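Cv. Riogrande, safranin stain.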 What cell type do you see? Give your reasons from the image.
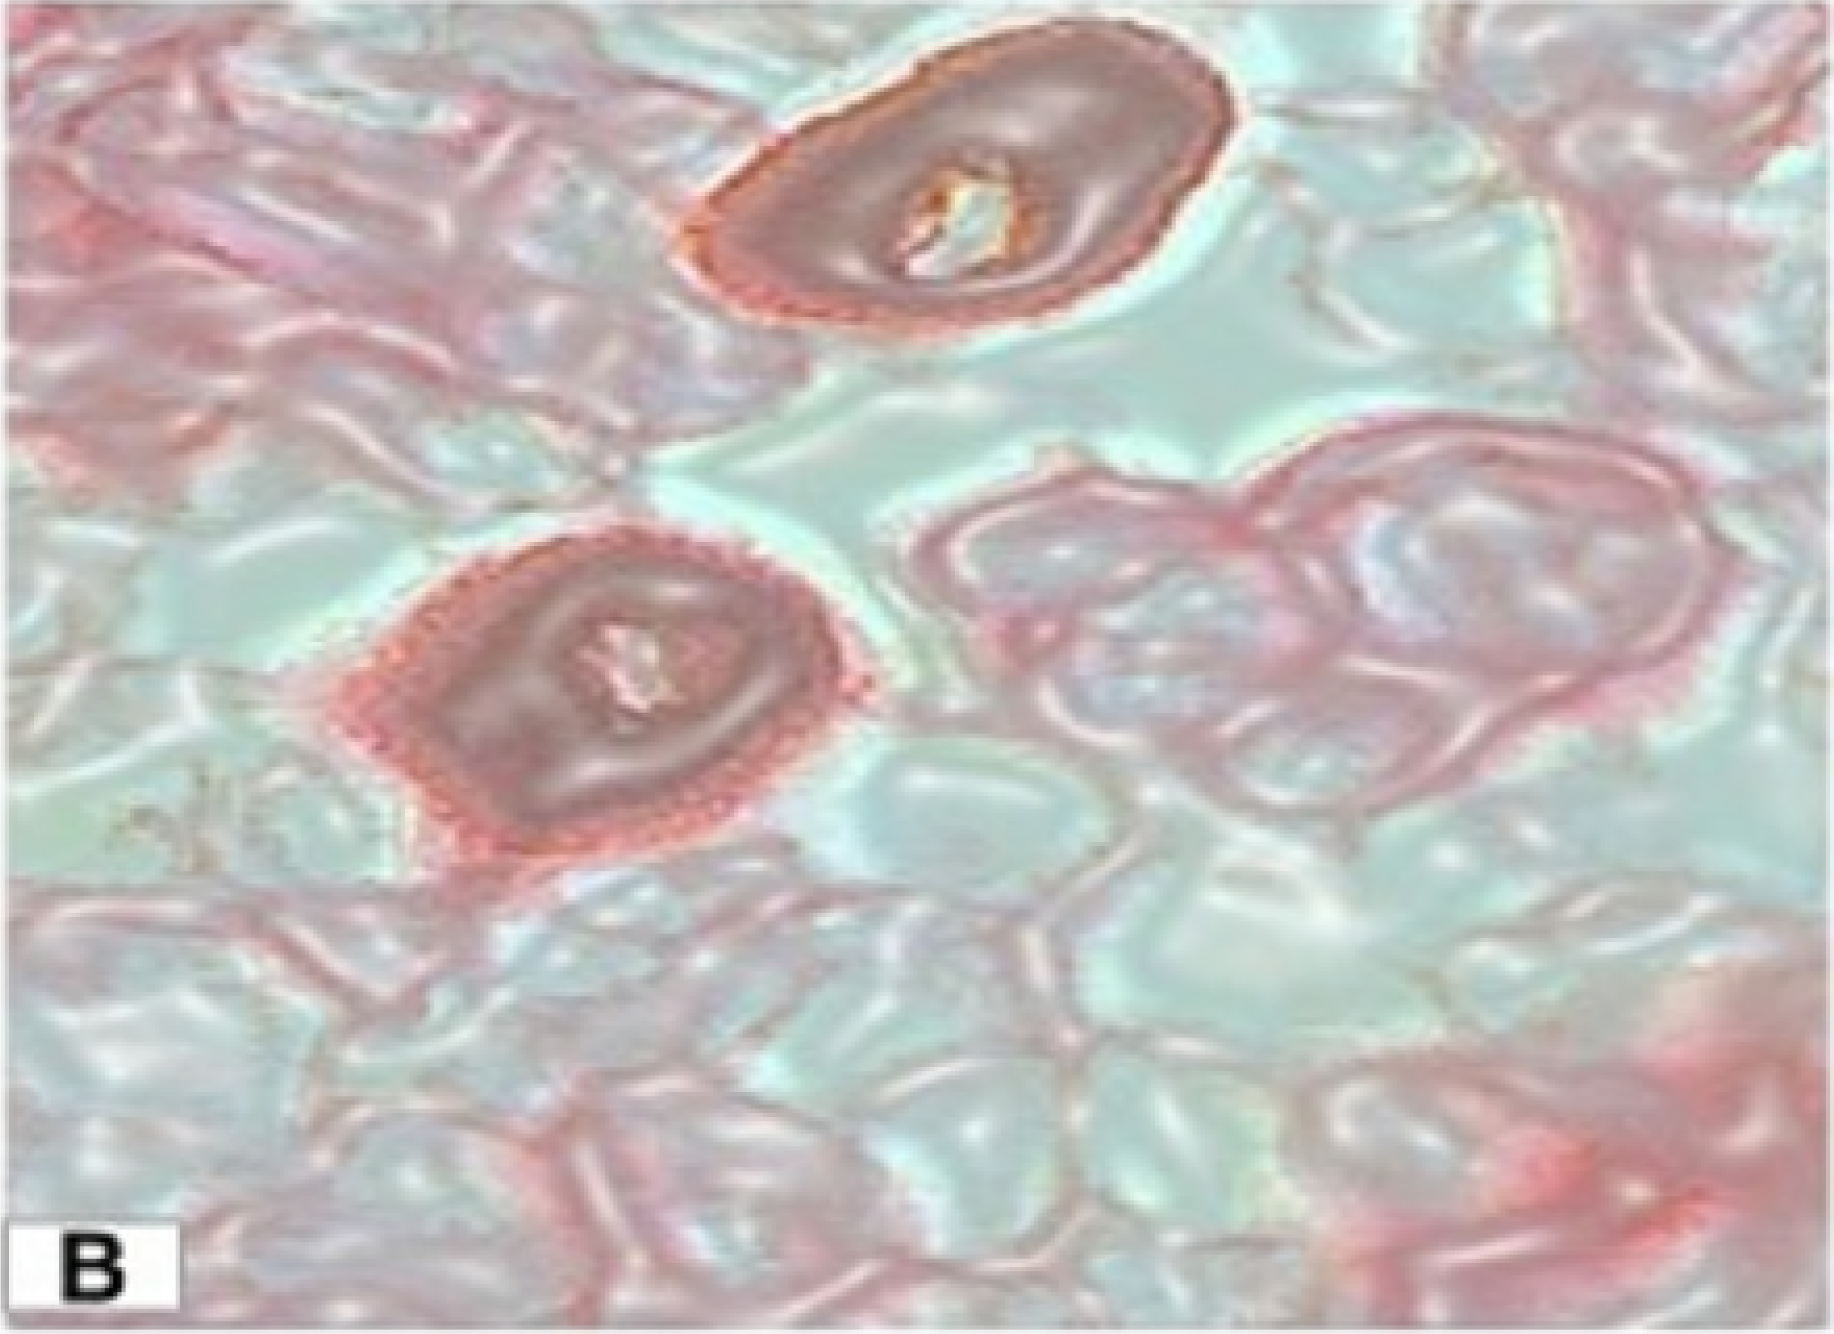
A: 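Embryonic cells. Two oval cells have thick dark reddish-brown walls with a small central lumen.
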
